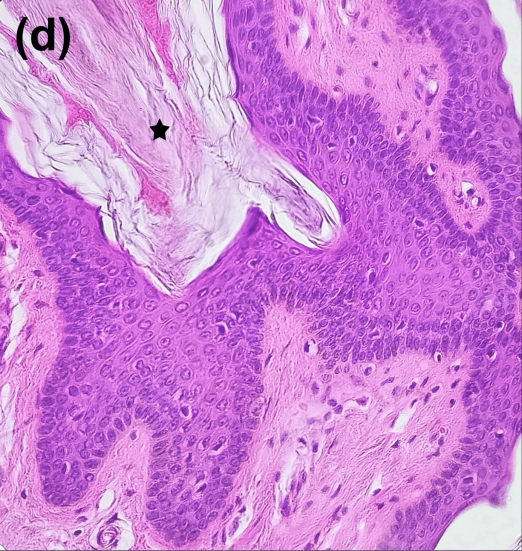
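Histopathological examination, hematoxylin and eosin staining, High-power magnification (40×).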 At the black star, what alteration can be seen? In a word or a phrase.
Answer: lamellar hyperkeratosis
